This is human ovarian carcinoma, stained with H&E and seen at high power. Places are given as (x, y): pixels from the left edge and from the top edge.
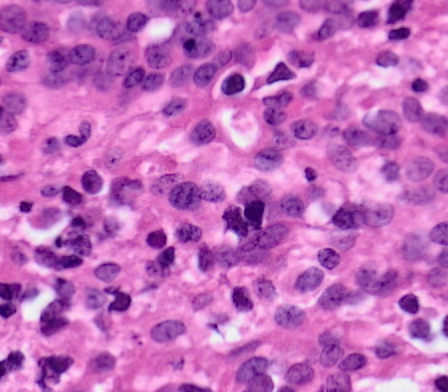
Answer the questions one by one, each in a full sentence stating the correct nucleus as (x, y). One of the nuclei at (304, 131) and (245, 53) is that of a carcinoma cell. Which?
The nucleus that belongs to a carcinoma cell is located at (245, 53).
